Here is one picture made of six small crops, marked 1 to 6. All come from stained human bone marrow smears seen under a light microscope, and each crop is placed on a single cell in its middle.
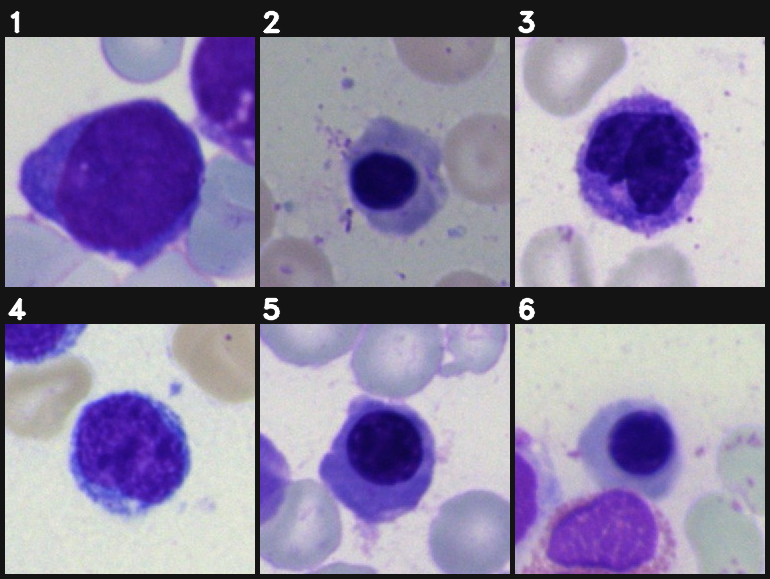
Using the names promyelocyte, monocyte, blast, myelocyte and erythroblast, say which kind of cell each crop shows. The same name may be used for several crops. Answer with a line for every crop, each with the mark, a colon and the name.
1: blast
2: erythroblast
3: monocyte
4: blast
5: erythroblast
6: erythroblast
